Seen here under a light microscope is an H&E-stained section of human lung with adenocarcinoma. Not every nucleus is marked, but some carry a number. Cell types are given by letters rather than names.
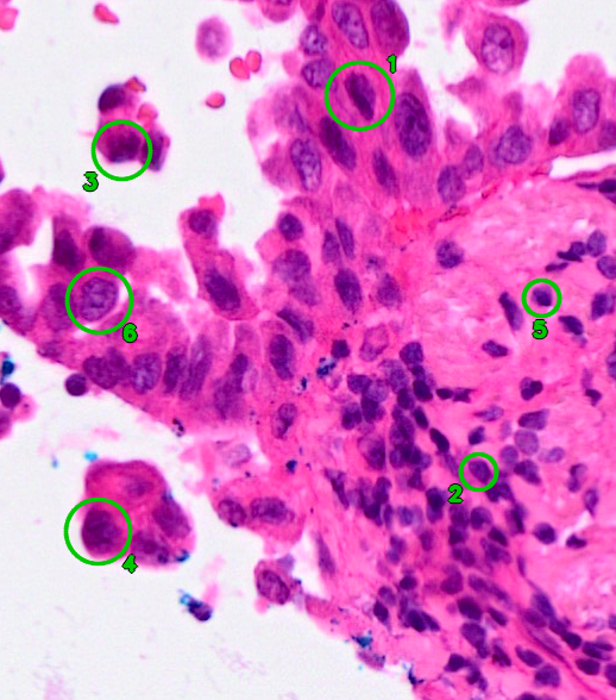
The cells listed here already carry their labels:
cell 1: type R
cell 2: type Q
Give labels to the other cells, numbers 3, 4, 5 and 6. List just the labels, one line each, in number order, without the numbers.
type R
type R
type Q
type R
